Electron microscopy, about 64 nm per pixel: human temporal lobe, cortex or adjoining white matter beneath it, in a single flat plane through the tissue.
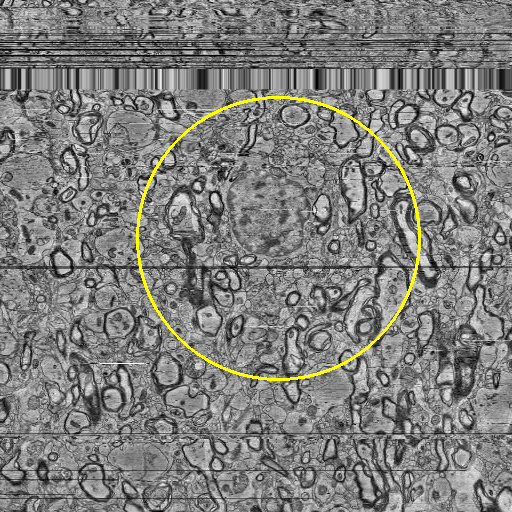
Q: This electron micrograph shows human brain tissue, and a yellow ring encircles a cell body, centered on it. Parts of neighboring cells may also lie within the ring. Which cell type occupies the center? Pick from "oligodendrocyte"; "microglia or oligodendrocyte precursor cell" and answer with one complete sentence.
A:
What sits at the ring's center in this micrograph is an oligodendrocyte, among those choices.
